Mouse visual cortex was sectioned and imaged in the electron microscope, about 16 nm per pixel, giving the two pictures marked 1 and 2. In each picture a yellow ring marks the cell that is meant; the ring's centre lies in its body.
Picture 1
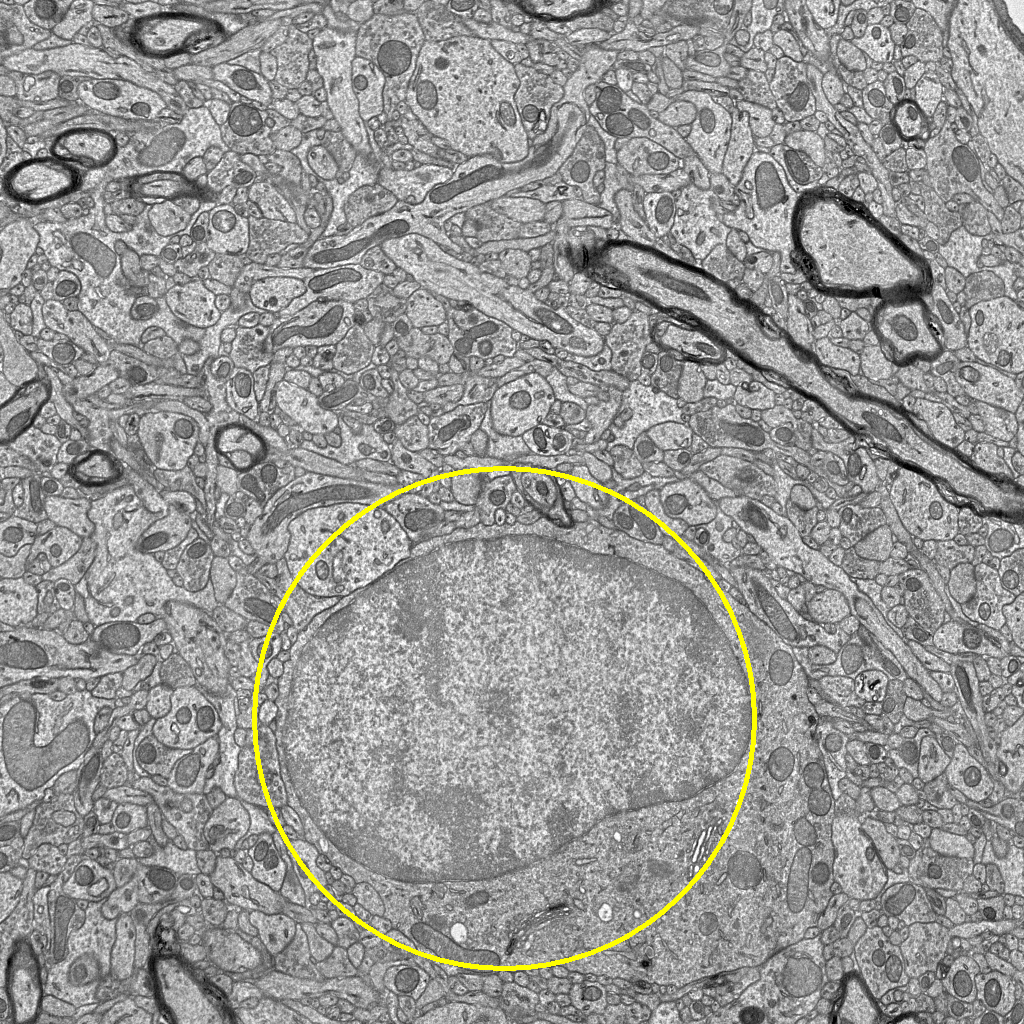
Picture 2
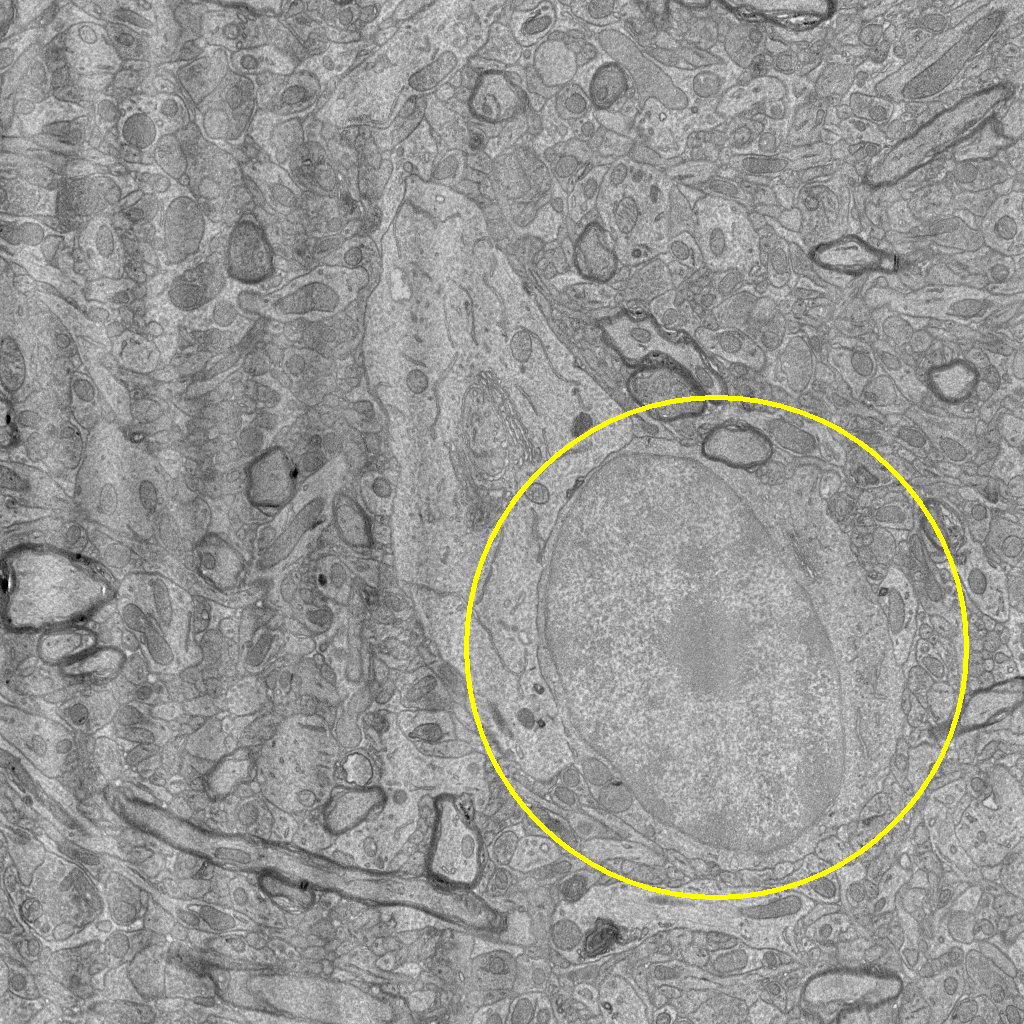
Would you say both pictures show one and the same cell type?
Yes; the cells in both pictures are oligodendrocytes.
